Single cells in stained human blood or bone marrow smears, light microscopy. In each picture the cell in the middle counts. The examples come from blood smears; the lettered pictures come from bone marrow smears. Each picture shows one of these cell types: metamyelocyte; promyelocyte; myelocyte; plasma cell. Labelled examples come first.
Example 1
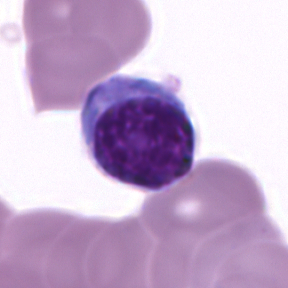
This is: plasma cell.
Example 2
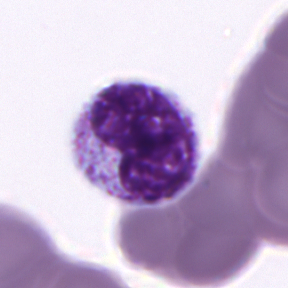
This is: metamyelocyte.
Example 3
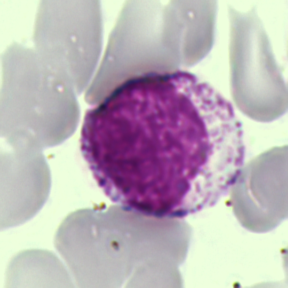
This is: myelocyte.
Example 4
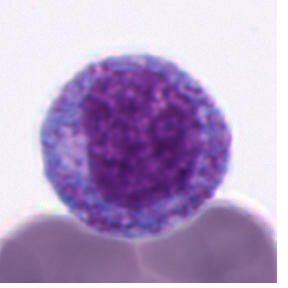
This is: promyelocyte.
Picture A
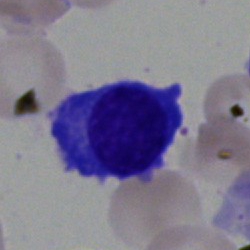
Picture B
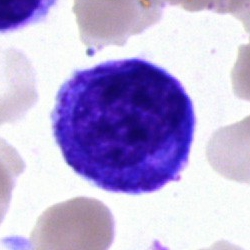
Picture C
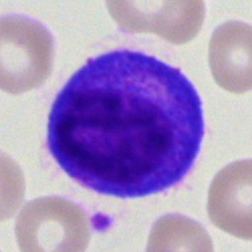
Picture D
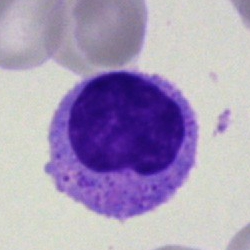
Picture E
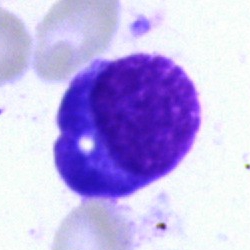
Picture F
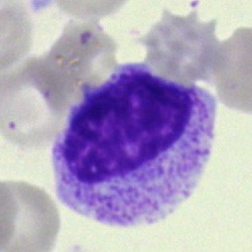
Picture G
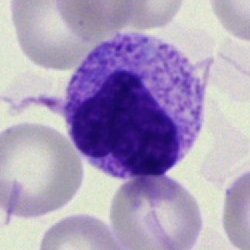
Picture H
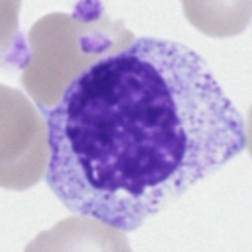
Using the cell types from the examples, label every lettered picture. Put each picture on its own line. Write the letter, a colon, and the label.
A: plasma cell.
B: promyelocyte.
C: promyelocyte.
D: myelocyte.
E: plasma cell.
F: myelocyte.
G: metamyelocyte.
H: myelocyte.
